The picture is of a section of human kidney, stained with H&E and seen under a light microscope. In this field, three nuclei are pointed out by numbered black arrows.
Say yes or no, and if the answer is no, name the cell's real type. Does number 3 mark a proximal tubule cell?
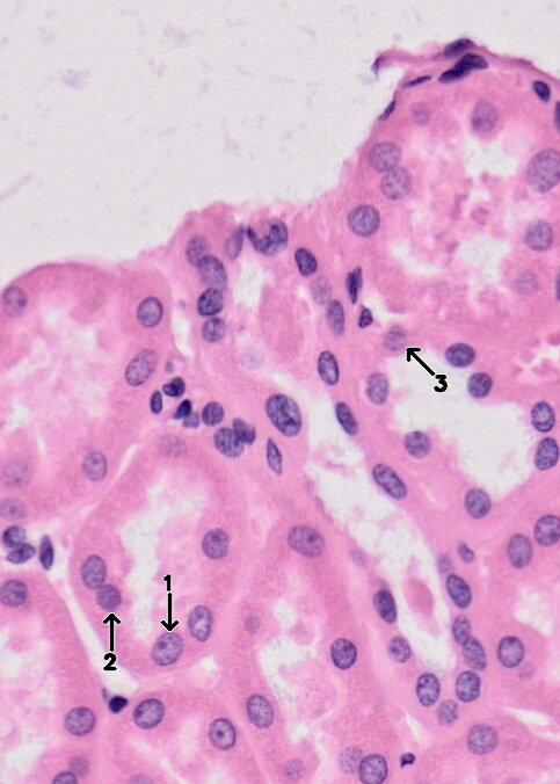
No, it is a loop of Henle or distal tubule cell.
